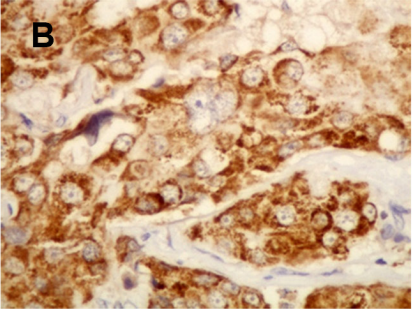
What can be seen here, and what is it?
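Nests of large polygonal tumor cells with abundant granular brown-stained cytoplasm. Nuclei are round to oval, pale and vesicular, several with a distinct nucleolus, and stand out against the brown cytoplasm. The nests are separated by thin strands of pale stroma containing a few elongated nuclei.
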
